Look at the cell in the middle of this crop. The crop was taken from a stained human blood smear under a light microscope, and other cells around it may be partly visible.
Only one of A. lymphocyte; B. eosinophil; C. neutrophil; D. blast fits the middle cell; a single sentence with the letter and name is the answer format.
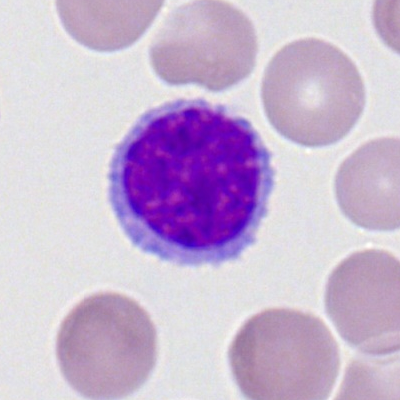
Located in the middle of the crop is a lymphocyte, and option A is therefore correct.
